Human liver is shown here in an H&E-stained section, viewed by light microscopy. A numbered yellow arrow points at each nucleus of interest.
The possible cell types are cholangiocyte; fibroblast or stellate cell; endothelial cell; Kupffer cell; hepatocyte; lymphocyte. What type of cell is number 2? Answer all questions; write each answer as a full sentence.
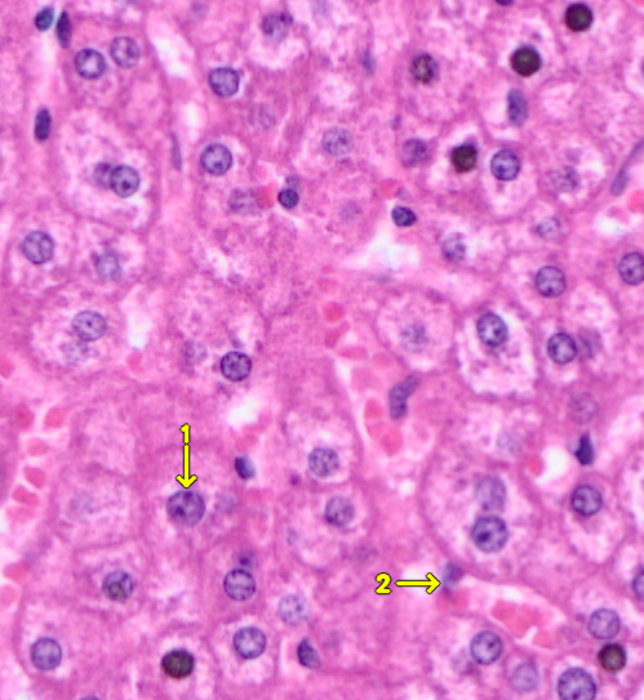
Belonging to an endothelial cell is the nucleus that carries the number 2.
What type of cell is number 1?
The cell that goes by number 1 is a hepatocyte.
